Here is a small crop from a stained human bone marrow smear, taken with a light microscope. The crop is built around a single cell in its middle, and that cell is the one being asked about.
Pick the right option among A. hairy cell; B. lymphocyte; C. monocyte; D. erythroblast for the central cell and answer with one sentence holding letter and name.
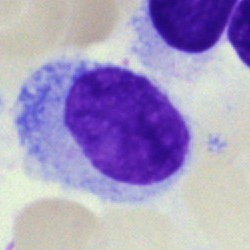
Option A is right in identifying the central cell as a hairy cell.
